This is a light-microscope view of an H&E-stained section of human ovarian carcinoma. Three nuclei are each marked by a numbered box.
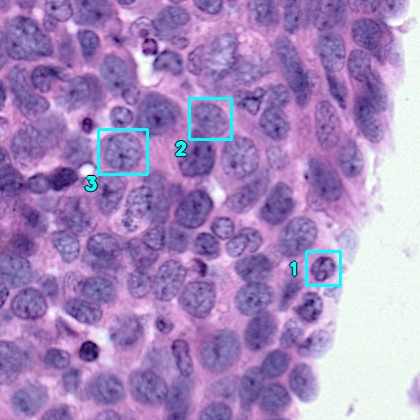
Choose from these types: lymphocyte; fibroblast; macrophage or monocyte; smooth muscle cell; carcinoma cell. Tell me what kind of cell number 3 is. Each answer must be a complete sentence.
The nucleus labelled 3 belongs to a carcinoma cell.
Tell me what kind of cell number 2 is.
The cell that carries the label 2 is a carcinoma cell.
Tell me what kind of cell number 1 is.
Classified as a macrophage or monocyte is the cell with the number 1.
